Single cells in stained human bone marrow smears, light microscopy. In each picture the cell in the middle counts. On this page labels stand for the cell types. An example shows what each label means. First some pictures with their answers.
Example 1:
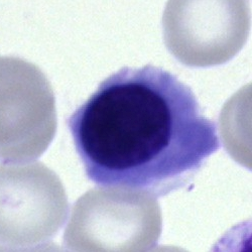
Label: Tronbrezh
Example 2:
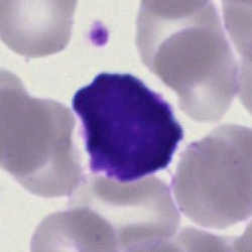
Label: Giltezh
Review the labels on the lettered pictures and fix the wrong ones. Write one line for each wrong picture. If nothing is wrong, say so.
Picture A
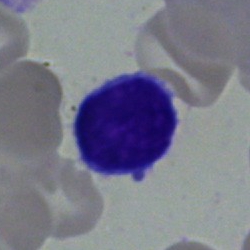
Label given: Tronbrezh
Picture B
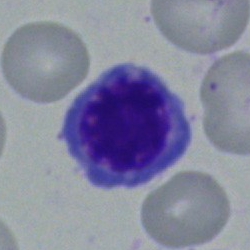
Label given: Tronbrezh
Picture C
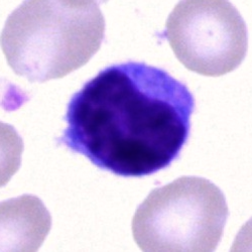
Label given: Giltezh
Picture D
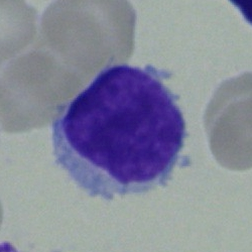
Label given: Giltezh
A: not Tronbrezh but Giltezh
